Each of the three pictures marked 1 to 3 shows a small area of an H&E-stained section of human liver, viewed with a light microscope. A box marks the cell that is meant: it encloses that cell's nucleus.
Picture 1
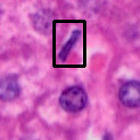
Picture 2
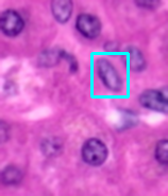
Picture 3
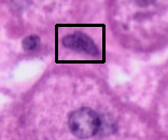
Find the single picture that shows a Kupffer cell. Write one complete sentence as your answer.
It is picture 3 that shows the Kupffer cell.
